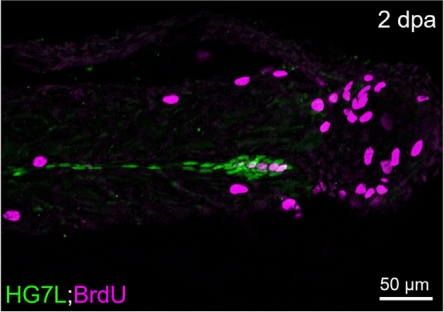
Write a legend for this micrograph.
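Toward the cut end these green cells crowd together into a small, denser cluster. A few of the clustered cells carry magenta nuclei. Many other magenta nuclei are scattered through the surrounding tissue, most densely near the rounded tip of the tail. The rest of the tail tissue shows only faint green and magenta background.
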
